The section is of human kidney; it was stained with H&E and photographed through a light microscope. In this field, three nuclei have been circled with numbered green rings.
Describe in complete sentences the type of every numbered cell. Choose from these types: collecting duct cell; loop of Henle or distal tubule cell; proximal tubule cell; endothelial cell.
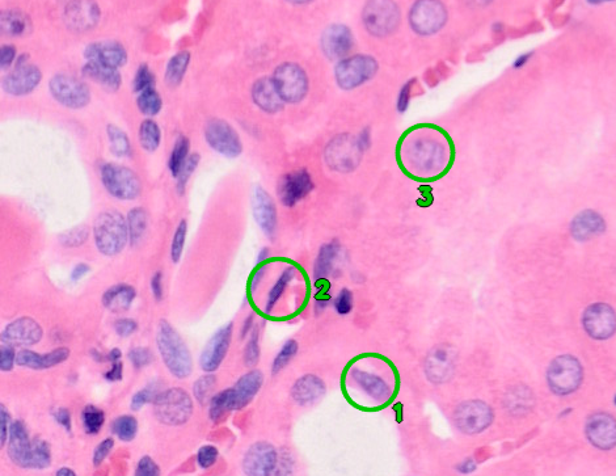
Cell 1 is a loop of Henle or distal tubule cell. Cell 2 is an endothelial cell. Cell 3 is a proximal tubule cell.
